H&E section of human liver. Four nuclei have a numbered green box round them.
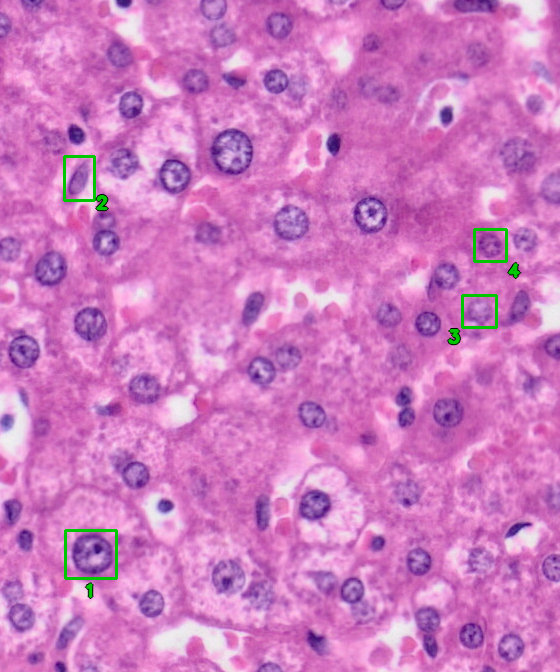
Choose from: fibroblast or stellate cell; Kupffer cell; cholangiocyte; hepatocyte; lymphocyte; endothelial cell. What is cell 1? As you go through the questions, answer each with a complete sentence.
In the marked set, the cell given number 1 is a hepatocyte.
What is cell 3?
Cell 3 is classified as a hepatocyte.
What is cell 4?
Marked with the number 4, this cell is a hepatocyte.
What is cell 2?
The marked nucleus 2 is that of a Kupffer cell.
